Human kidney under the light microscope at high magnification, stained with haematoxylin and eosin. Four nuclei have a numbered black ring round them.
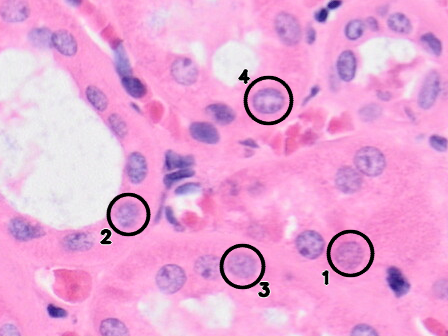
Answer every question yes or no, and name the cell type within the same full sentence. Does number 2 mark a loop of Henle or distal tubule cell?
Yes, the numbered cell 2 is a loop of Henle or distal tubule cell.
